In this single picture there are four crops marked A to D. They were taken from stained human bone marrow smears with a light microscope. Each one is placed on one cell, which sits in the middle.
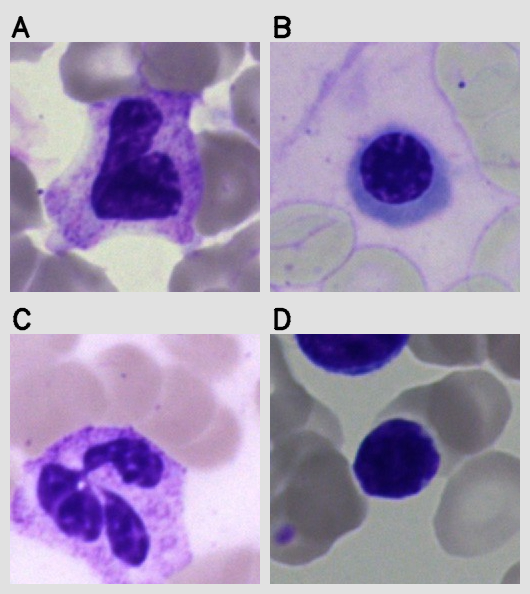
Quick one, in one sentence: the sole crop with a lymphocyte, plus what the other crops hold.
Crop D shows a lymphocyte in its middle, while crop A is a band neutrophil, crop B is an erythroblast and crop C is a segmented neutrophil.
